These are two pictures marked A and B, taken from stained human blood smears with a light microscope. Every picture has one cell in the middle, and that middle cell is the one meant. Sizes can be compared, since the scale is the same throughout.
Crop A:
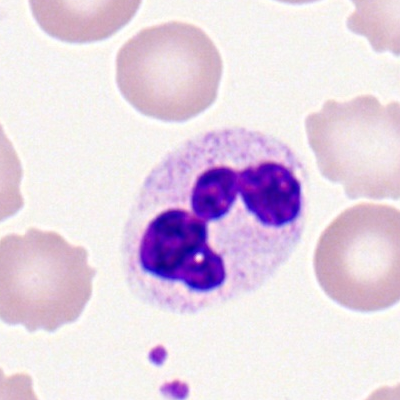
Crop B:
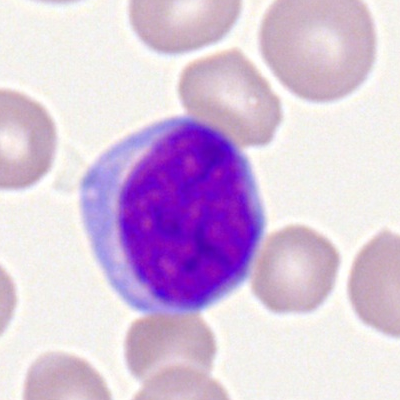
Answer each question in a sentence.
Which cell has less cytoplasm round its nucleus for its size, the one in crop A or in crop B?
Of the two, the nucleus in crop B makes up the greater part of its cell.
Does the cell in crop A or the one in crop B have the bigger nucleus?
The nucleus in crop B is larger, with about 2 times the area of the one in crop A.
